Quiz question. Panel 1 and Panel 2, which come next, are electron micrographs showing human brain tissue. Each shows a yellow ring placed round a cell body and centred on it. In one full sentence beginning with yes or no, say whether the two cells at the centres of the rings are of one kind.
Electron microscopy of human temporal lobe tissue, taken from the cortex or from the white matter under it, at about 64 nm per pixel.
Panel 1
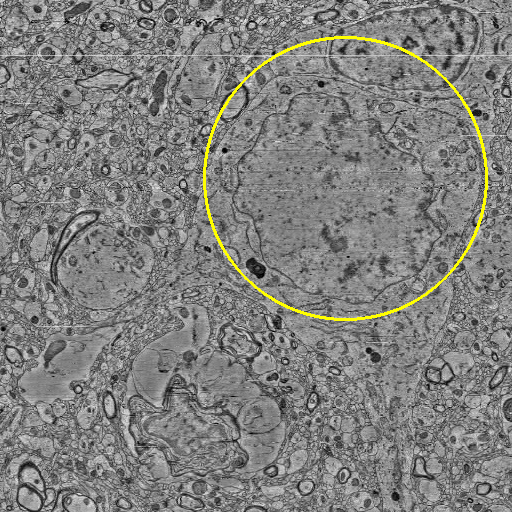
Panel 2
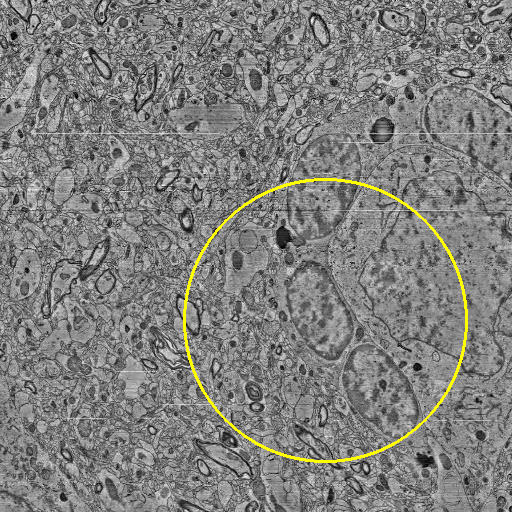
No, Panel 1 and Panel 2 show two kinds of cell at the centre of the ring.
